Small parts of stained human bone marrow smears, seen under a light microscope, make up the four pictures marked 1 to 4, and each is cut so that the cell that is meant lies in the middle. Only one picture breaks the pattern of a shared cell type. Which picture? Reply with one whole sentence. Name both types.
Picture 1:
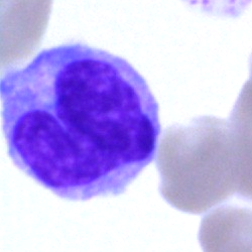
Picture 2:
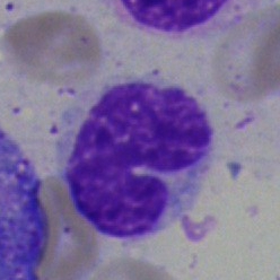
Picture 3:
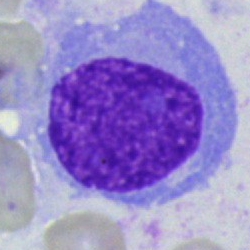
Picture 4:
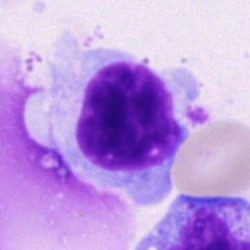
Picture 4 is the odd one out: it shows a lymphocyte, while the others show monocytes.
